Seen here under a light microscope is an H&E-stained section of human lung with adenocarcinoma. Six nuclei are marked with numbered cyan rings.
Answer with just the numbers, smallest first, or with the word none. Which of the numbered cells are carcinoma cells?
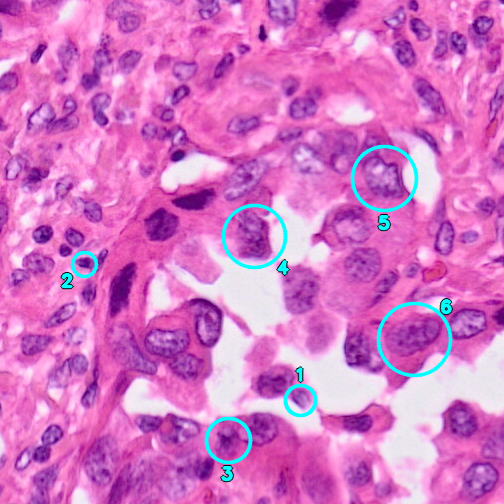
3, 4, 5, 6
